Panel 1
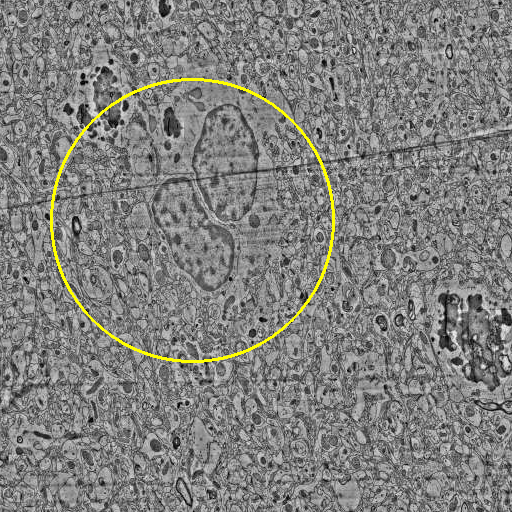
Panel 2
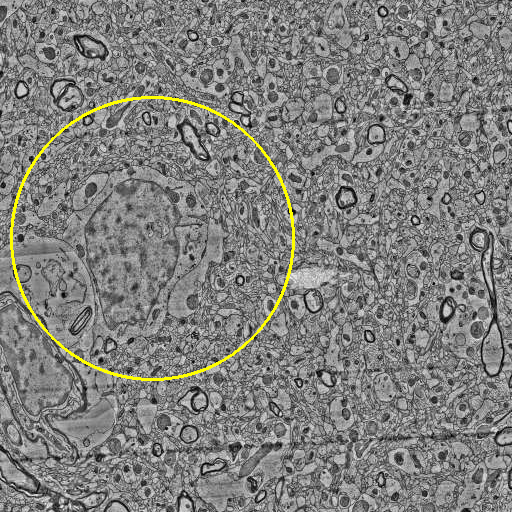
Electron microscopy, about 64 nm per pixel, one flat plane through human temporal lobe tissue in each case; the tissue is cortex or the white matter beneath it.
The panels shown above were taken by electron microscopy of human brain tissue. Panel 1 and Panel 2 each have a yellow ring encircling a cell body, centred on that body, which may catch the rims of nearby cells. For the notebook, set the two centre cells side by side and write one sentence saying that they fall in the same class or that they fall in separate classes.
The centred cells of Panel 1 and Panel 2 fall in separate classes.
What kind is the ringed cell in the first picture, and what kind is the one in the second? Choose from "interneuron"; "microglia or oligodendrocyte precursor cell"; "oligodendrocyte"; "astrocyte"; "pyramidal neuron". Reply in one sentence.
The first cell is a microglial cell or oligodendrocyte precursor cell; the second is an interneuron.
